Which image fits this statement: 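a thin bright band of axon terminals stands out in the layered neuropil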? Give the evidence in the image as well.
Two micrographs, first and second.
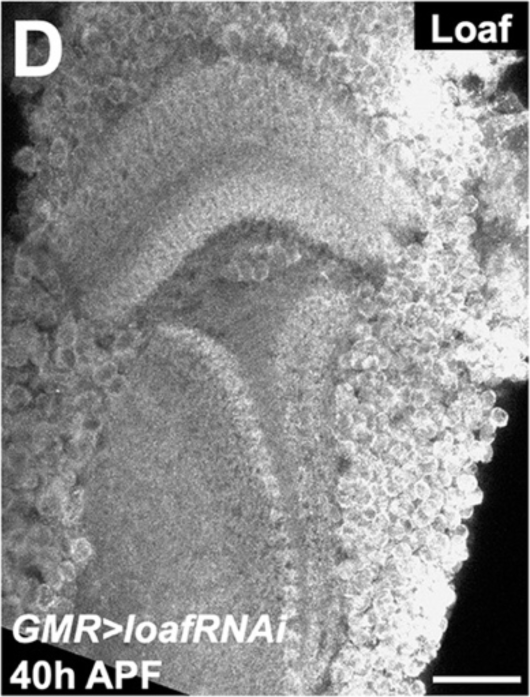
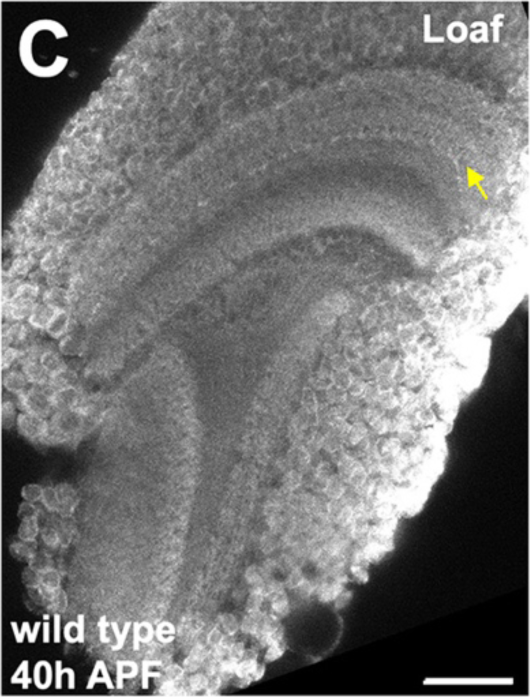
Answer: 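The second image. First image: no distinct bright thin band marks the curved neuropil. Second image: a thin bright band follows the curved neuropil where the arrow points.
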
